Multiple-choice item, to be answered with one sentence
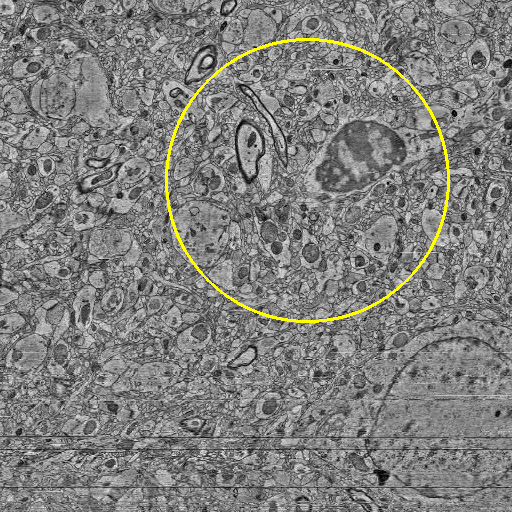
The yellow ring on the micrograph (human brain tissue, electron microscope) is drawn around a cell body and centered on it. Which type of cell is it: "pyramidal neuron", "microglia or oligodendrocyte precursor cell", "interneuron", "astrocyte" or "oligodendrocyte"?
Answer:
The ring is centered on a microglial cell or oligodendrocyte precursor cell.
